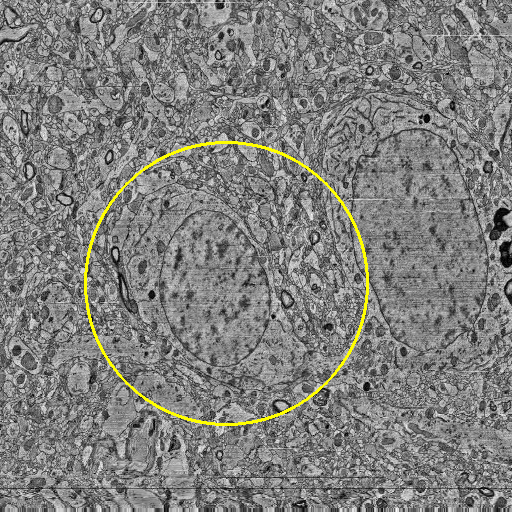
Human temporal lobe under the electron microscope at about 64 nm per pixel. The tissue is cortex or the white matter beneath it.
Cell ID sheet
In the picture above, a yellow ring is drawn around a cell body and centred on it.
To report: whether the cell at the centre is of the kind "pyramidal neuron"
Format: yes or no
yes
